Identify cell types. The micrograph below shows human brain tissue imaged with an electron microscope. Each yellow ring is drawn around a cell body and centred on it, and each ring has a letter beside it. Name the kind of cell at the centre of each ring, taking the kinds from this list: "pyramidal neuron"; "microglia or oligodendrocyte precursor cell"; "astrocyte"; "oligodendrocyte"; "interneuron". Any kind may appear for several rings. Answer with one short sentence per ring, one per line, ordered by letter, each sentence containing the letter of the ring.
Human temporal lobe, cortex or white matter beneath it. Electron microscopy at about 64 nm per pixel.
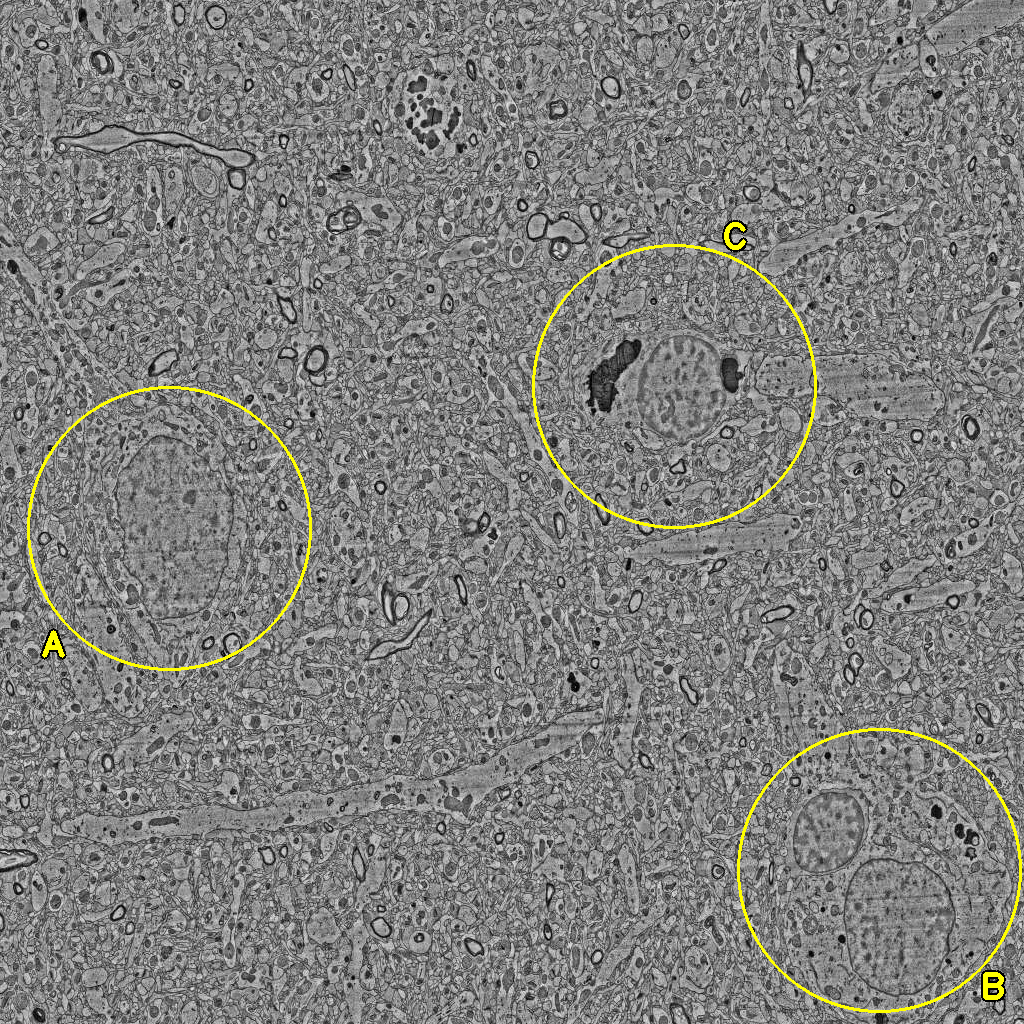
Ring A marks an interneuron.
Ring B marks a pyramidal neuron.
Ring C marks an oligodendrocyte.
